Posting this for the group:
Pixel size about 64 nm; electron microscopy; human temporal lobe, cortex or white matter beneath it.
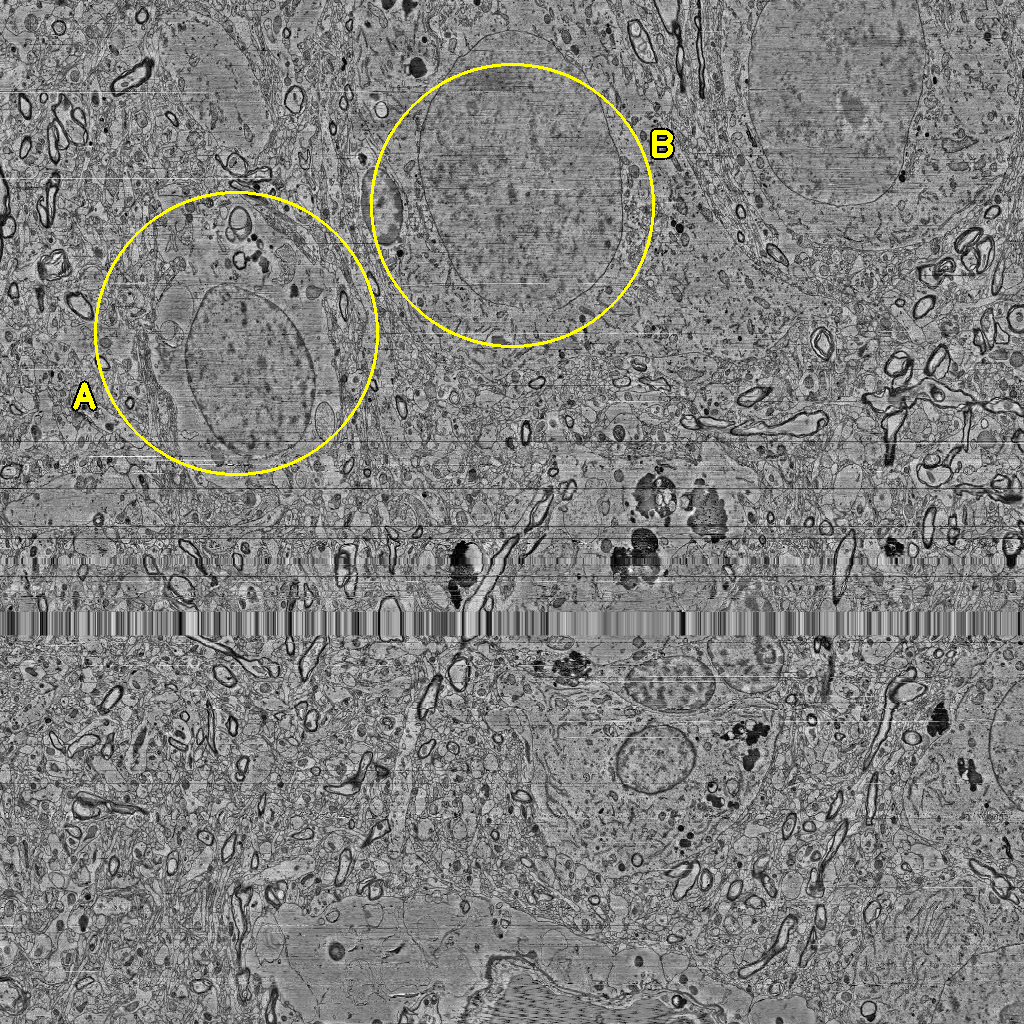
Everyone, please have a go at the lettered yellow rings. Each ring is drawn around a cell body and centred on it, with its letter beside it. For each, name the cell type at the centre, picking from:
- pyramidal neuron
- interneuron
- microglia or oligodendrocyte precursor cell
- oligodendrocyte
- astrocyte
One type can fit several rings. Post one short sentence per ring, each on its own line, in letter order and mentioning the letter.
My call for ring A is an astrocyte.
My call for ring B is a pyramidal neuron.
